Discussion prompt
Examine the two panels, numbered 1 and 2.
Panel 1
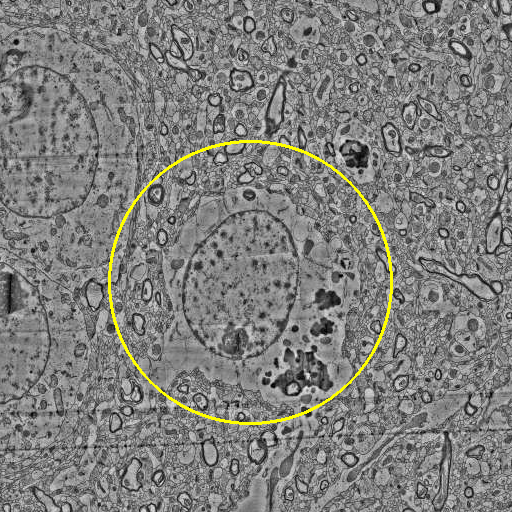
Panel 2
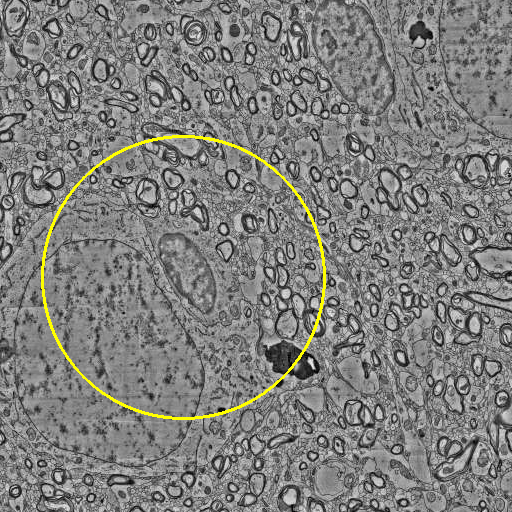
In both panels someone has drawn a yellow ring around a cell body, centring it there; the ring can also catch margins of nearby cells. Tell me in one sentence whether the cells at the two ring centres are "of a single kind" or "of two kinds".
Taken together, the two cells centred in the rings of Panels 1 and 2 are of two kinds.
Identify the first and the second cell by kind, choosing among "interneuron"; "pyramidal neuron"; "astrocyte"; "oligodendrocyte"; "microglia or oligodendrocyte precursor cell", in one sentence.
The one in the first picture is an astrocyte, while the one in the second is an oligodendrocyte.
